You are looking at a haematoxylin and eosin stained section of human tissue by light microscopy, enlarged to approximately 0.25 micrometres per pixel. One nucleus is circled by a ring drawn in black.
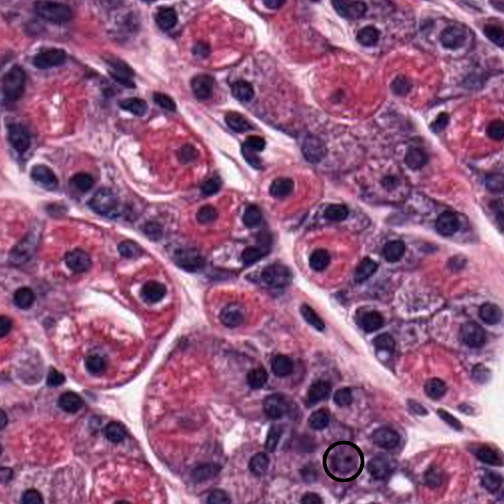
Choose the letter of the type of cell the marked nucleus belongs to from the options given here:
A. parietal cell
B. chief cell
B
